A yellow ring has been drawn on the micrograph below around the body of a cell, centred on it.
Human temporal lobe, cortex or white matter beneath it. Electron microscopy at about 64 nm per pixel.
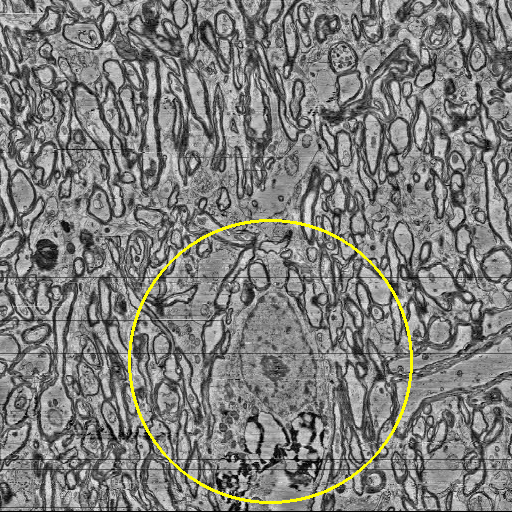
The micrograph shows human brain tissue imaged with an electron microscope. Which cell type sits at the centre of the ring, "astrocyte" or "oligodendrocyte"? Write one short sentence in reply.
The cell sitting at the centre of the ring is an astrocyte.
